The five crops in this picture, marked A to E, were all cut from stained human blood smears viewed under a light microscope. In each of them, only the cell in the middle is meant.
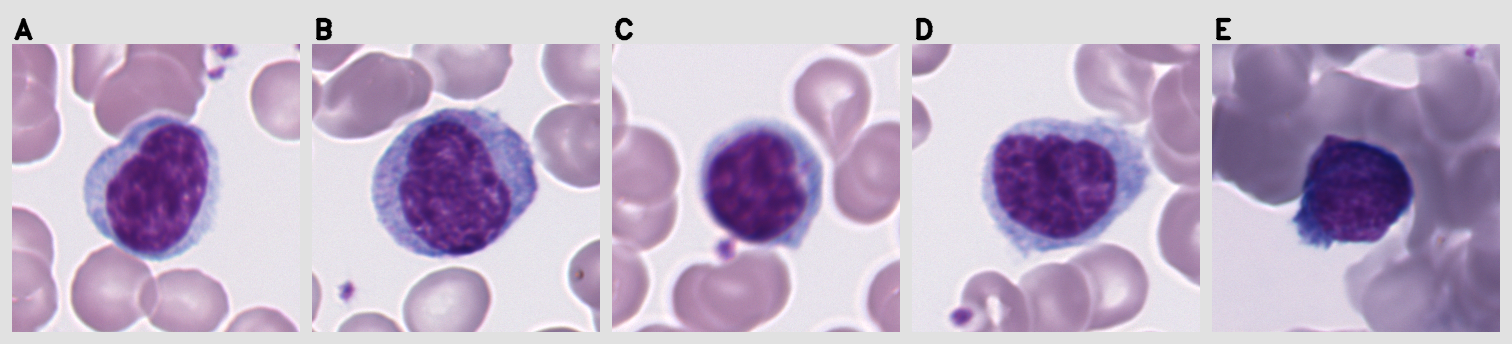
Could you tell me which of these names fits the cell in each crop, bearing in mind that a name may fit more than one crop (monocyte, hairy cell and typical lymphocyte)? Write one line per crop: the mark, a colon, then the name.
A: typical lymphocyte
B: monocyte
C: typical lymphocyte
D: monocyte
E: typical lymphocyte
